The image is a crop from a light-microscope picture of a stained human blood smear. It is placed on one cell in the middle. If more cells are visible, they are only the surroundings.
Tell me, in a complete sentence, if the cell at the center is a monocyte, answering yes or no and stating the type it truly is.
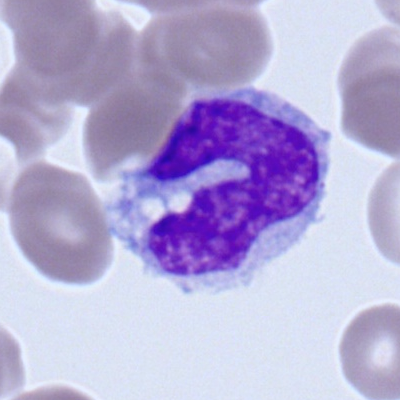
Yes, in the middle of the crop is a monocyte.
